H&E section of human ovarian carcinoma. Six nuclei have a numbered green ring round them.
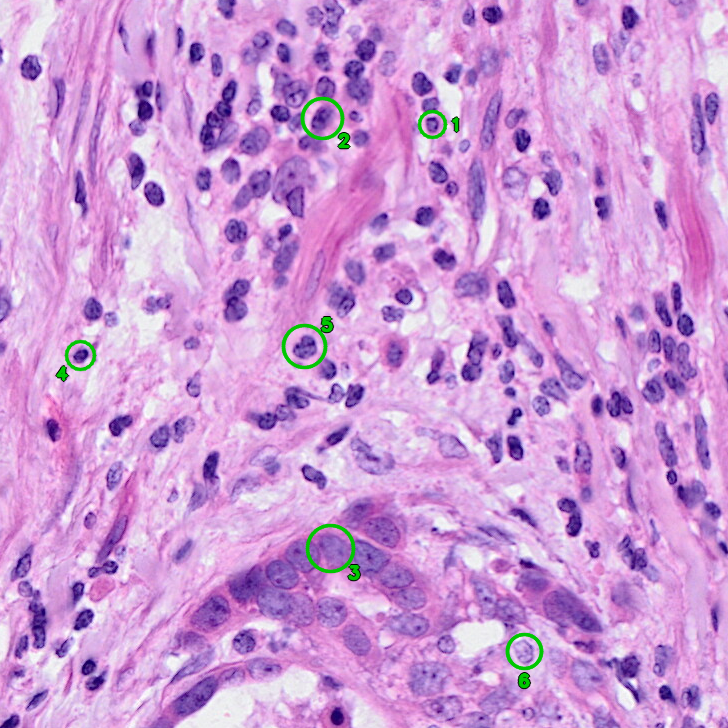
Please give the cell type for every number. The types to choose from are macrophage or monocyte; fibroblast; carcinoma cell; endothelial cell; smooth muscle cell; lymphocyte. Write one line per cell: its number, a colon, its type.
1: lymphocyte
2: lymphocyte
3: carcinoma cell
4: lymphocyte
5: lymphocyte
6: macrophage or monocyte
